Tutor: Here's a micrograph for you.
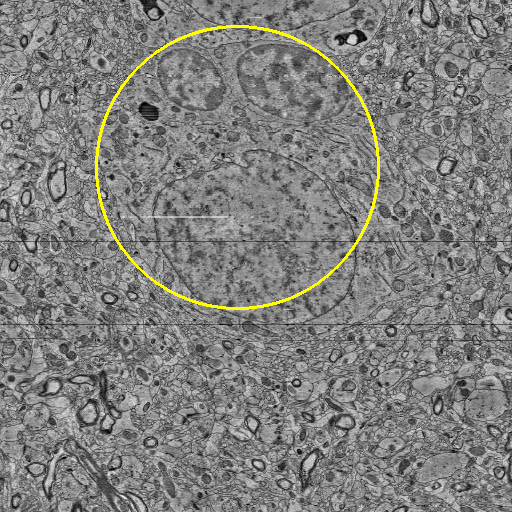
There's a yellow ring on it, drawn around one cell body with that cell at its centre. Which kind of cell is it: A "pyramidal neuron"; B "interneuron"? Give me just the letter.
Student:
B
